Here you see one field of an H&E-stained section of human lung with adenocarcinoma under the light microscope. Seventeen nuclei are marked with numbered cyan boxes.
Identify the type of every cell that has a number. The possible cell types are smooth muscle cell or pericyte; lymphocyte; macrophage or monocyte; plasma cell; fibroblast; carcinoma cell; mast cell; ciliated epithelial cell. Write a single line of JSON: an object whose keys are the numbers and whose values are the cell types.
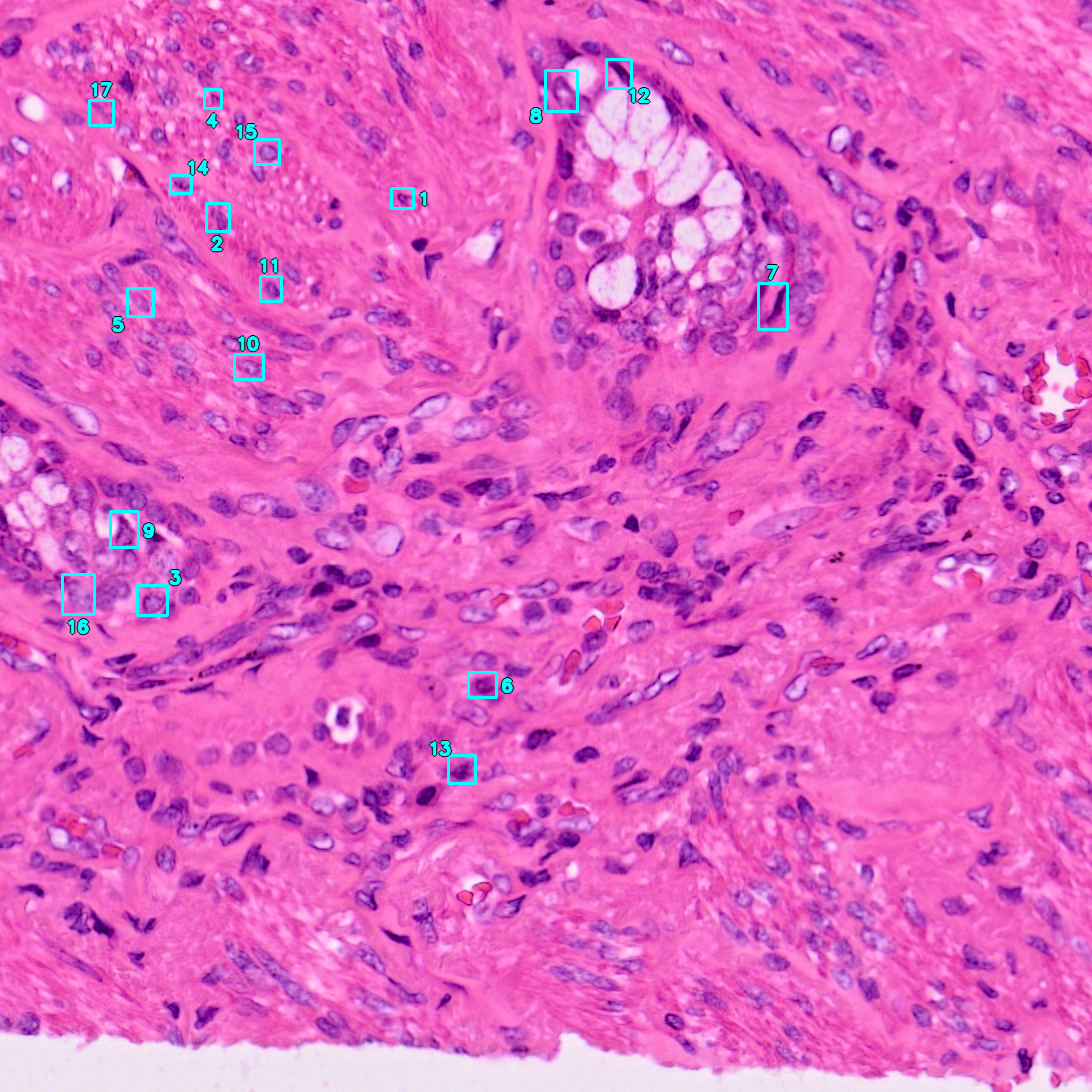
{"1": "smooth muscle cell or pericyte", "2": "smooth muscle cell or pericyte", "3": "ciliated epithelial cell", "4": "smooth muscle cell or pericyte", "5": "smooth muscle cell or pericyte", "6": "plasma cell", "7": "ciliated epithelial cell", "8": "ciliated epithelial cell", "9": "ciliated epithelial cell", "10": "smooth muscle cell or pericyte", "11": "smooth muscle cell or pericyte", "12": "ciliated epithelial cell", "13": "plasma cell", "14": "smooth muscle cell or pericyte", "15": "smooth muscle cell or pericyte", "16": "ciliated epithelial cell", "17": "smooth muscle cell or pericyte"}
